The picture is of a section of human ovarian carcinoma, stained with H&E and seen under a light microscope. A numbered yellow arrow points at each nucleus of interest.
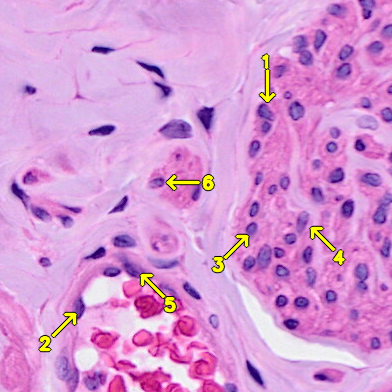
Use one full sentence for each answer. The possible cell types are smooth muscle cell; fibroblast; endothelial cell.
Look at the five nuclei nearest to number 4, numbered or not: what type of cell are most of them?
Around number 4, most of the five nearest nuclei are those of smooth muscle cells.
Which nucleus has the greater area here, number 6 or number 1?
Number 1 is larger; its area is about 1.5 times that of number 6.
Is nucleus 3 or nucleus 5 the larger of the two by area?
Nucleus 5 covers more area, about 1.5 times as much as nucleus 3.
